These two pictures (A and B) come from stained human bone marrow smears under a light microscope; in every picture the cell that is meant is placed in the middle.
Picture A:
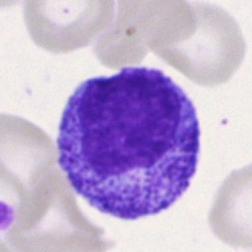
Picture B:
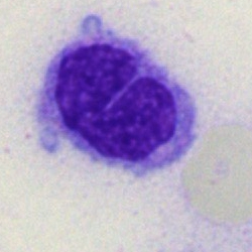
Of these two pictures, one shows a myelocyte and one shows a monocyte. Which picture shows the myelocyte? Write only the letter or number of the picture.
A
